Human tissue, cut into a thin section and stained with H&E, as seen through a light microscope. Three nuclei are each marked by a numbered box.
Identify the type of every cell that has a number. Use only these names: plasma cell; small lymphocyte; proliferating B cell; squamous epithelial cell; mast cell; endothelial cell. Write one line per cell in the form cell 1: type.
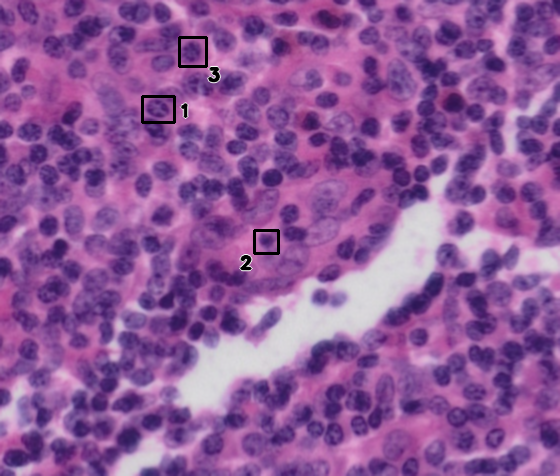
cell 1: plasma cell
cell 2: endothelial cell
cell 3: plasma cell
